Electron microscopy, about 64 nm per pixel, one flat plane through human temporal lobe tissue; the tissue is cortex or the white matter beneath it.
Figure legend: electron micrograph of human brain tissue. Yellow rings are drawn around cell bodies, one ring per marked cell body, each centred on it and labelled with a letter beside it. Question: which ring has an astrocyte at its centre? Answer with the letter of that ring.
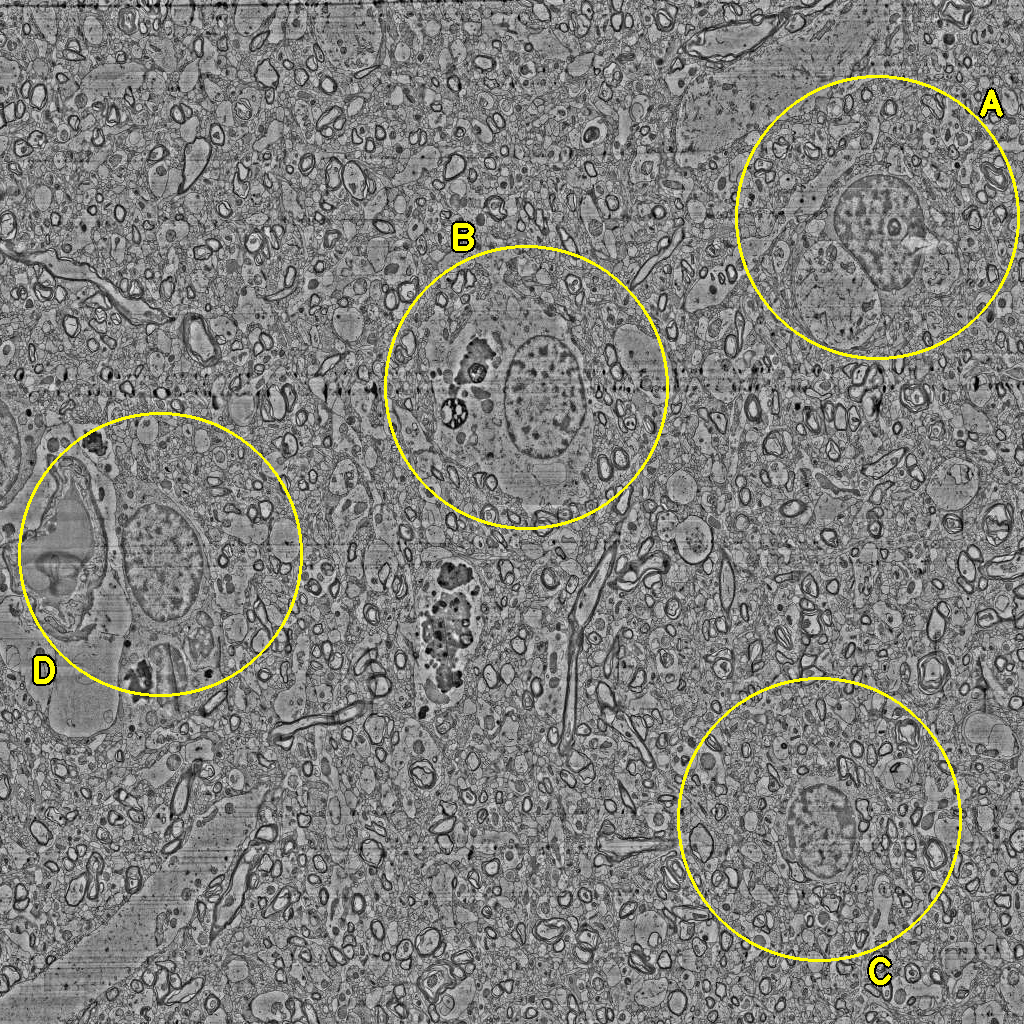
B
